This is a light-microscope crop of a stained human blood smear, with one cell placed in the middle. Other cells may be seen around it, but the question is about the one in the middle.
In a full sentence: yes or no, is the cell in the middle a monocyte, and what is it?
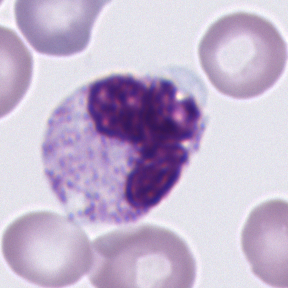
No, the cell at the centre of the crop is a neutrophil and not a monocyte.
